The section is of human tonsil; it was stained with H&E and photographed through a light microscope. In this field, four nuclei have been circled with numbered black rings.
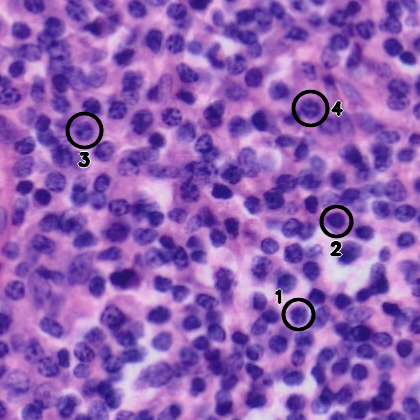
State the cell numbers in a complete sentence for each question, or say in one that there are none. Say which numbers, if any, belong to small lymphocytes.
Cell 1 is a small lymphocyte, and it is the only one.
